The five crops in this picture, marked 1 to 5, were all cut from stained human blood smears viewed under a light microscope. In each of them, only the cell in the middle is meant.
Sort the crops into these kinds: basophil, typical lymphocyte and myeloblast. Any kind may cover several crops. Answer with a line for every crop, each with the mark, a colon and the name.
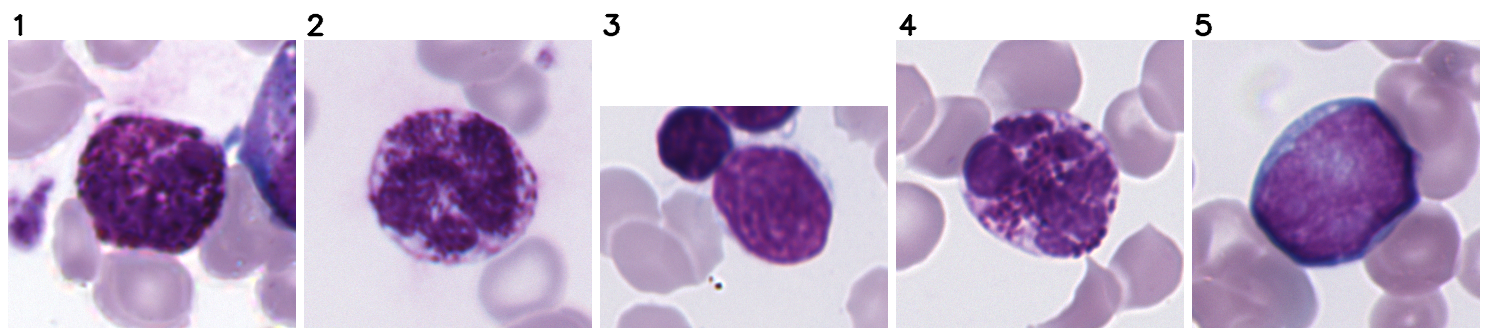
1: basophil
2: basophil
3: myeloblast
4: basophil
5: myeloblast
